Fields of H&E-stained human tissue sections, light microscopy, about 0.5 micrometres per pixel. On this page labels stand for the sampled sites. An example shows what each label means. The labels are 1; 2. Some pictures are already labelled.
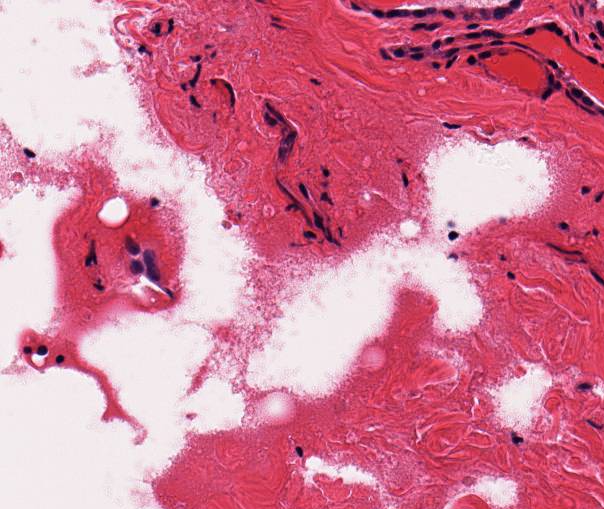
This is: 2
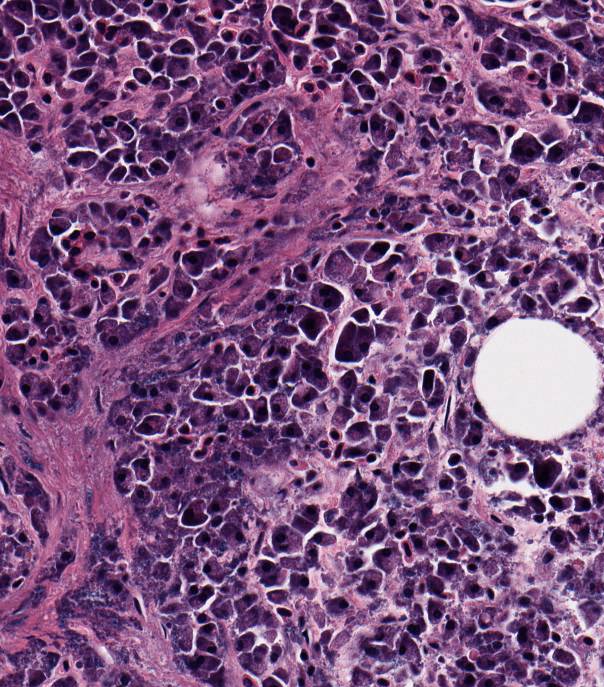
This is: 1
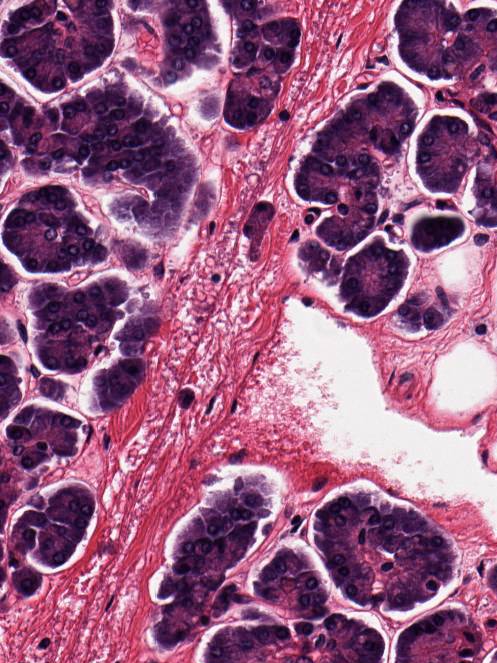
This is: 1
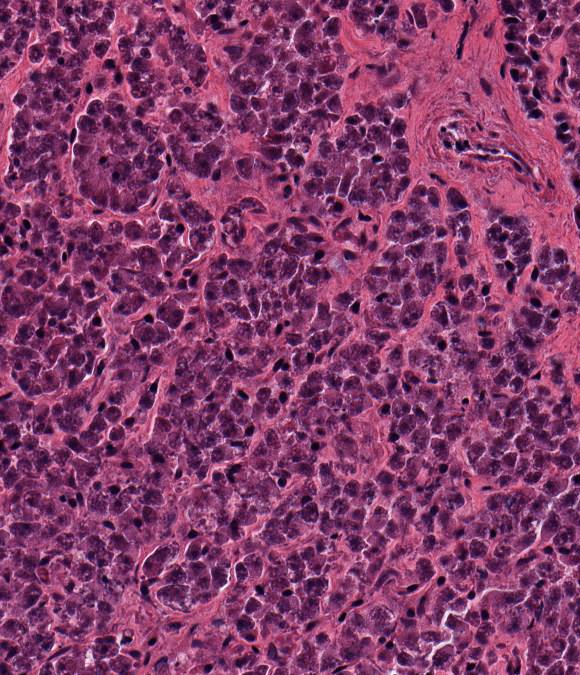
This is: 1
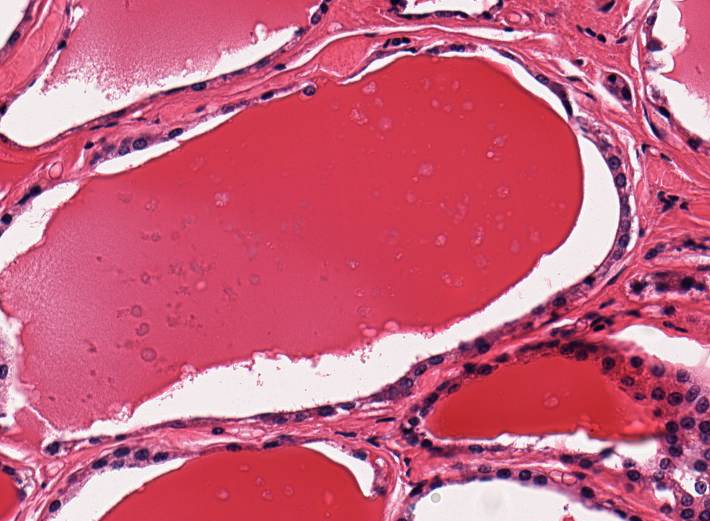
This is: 2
